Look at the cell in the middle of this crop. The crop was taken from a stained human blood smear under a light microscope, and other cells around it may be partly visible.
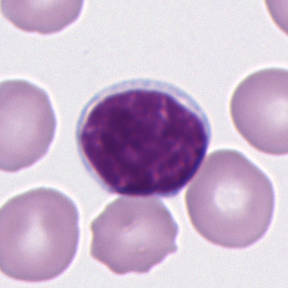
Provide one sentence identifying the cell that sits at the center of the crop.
Where the crop is centred, there is a lymphocyte.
